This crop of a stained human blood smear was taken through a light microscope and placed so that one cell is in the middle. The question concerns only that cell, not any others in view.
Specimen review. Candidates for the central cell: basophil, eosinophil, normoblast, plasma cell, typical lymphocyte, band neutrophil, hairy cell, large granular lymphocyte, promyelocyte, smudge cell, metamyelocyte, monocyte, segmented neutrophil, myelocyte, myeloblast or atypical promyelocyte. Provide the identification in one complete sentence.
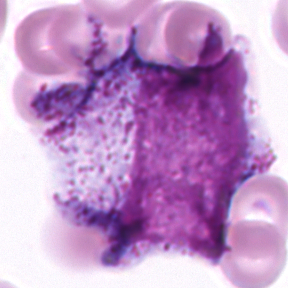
At the center of the crop sits a promyelocyte.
